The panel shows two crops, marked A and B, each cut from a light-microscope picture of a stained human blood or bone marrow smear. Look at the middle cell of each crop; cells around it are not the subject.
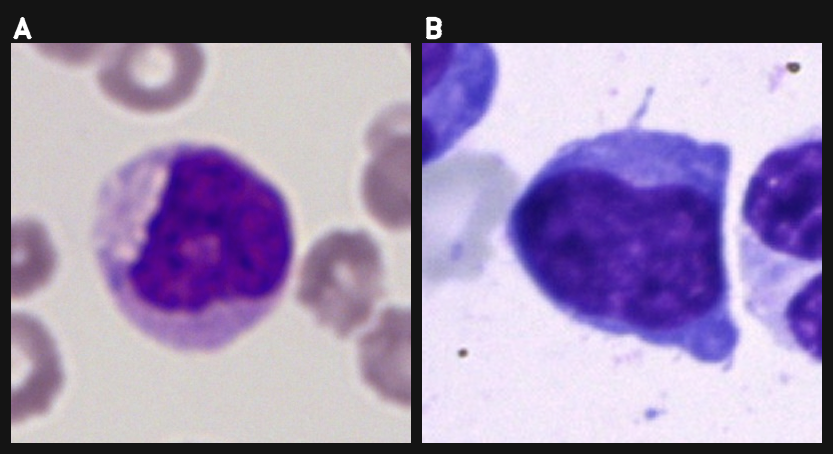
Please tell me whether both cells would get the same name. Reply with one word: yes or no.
no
